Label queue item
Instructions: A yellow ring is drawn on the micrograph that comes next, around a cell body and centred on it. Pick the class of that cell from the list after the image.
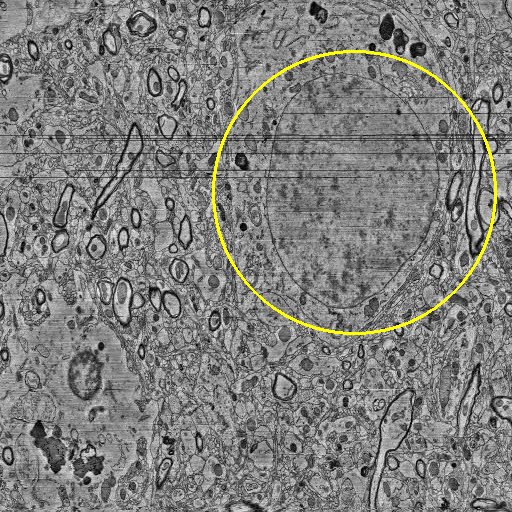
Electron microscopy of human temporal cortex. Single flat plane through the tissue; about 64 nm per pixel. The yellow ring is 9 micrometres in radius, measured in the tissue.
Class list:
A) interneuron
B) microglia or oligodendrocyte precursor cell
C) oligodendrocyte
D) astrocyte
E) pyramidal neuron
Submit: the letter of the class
E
